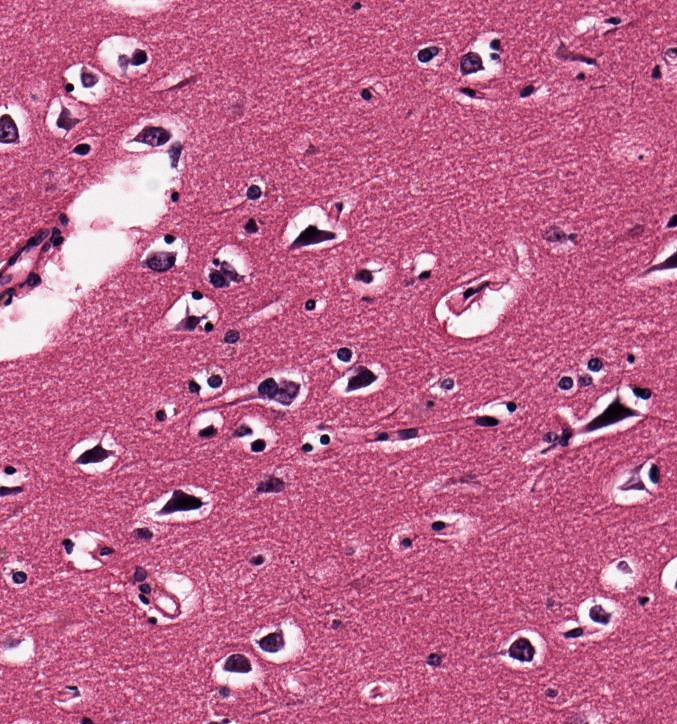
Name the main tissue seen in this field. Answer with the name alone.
cerebral cortex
